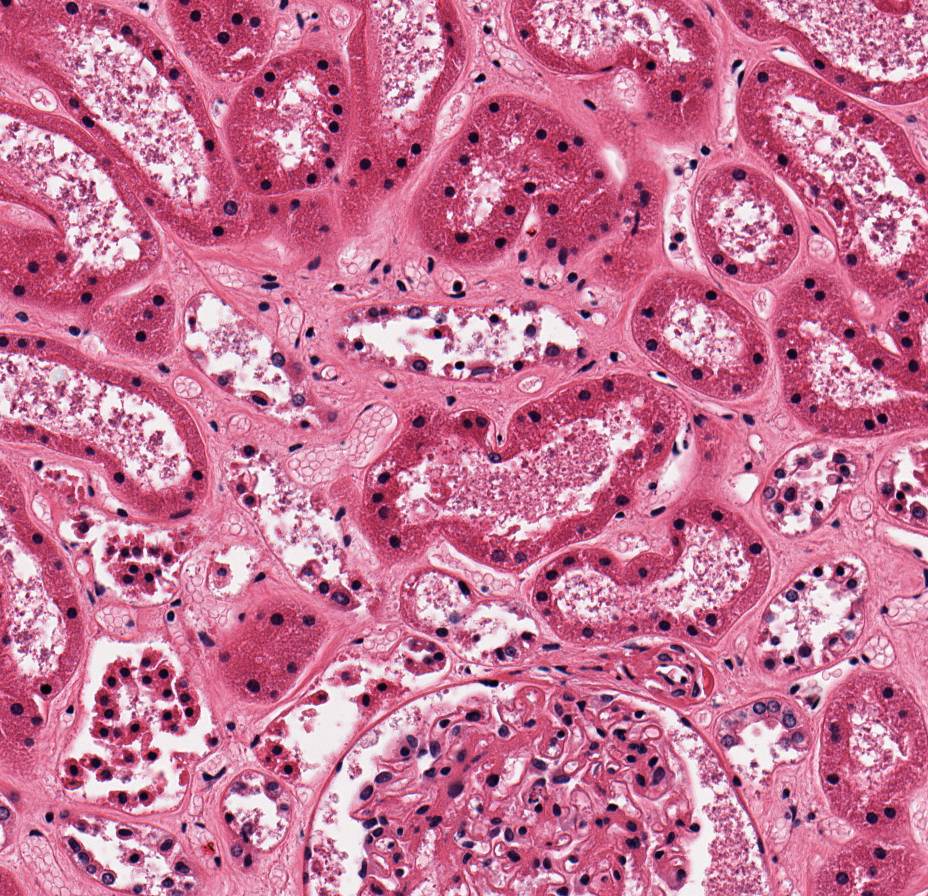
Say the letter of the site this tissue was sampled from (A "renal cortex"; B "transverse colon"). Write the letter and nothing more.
A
